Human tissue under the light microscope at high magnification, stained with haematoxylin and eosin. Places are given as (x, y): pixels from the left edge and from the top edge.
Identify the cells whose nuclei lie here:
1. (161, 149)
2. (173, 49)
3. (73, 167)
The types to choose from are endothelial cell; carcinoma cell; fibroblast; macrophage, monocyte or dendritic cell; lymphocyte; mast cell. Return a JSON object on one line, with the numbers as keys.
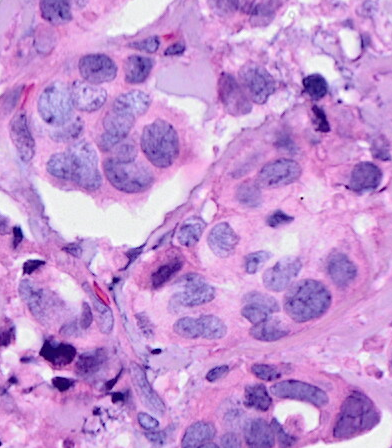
{"1": "carcinoma cell", "2": "endothelial cell", "3": "carcinoma cell"}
